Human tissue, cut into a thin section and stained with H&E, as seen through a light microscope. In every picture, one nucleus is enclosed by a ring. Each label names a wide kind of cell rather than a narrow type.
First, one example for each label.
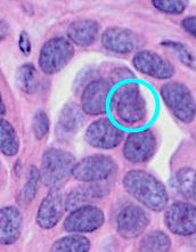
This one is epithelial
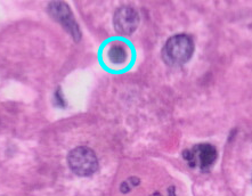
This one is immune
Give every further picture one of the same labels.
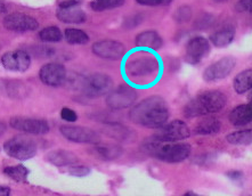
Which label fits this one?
epithelial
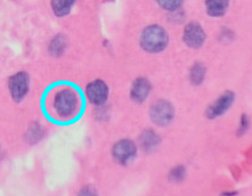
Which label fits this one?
epithelial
